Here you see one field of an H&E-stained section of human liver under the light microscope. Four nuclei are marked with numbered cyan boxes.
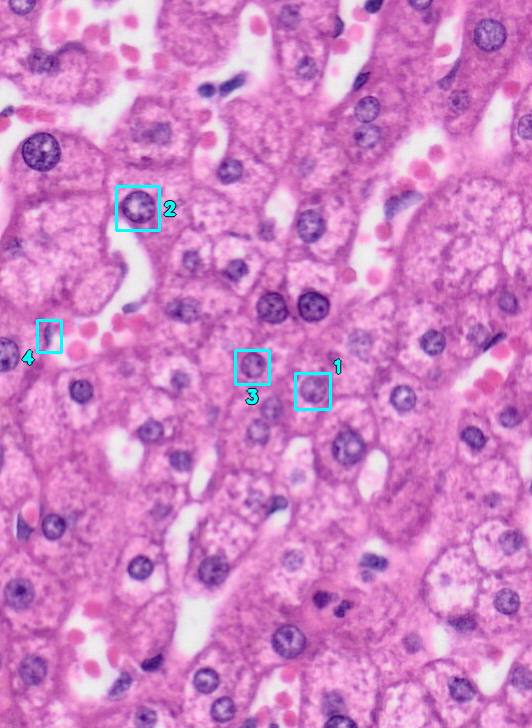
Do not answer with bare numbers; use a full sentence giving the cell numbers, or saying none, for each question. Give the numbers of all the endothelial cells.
Cell 4 is an endothelial cell, and this holds for no other numbered cell.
